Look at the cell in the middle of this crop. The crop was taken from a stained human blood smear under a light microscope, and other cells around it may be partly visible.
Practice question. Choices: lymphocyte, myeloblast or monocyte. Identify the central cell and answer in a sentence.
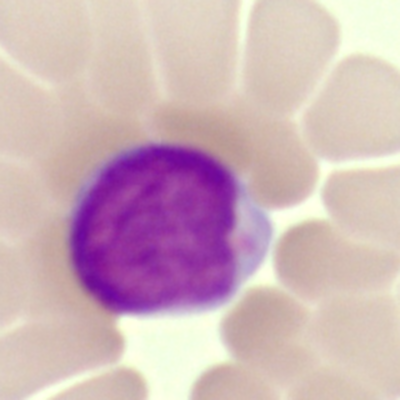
The cell in the exact centre of the crop is a myeloblast.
